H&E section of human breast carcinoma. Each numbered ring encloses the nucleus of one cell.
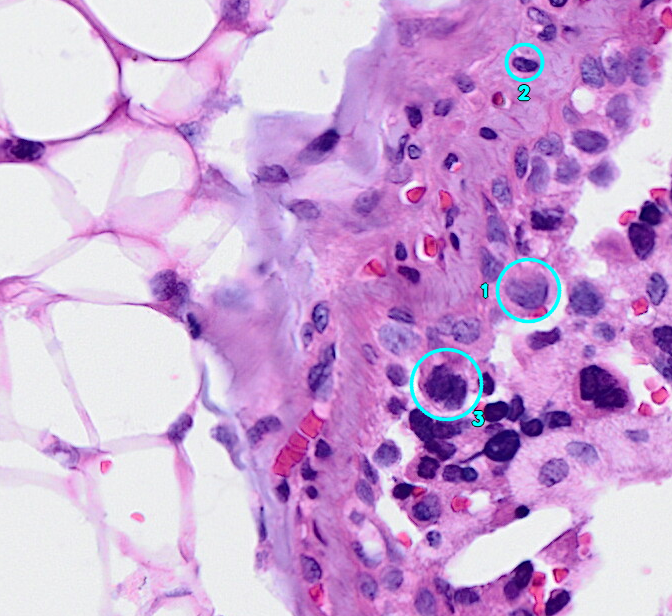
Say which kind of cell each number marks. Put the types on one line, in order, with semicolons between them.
carcinoma cell; mast cell; carcinoma cell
